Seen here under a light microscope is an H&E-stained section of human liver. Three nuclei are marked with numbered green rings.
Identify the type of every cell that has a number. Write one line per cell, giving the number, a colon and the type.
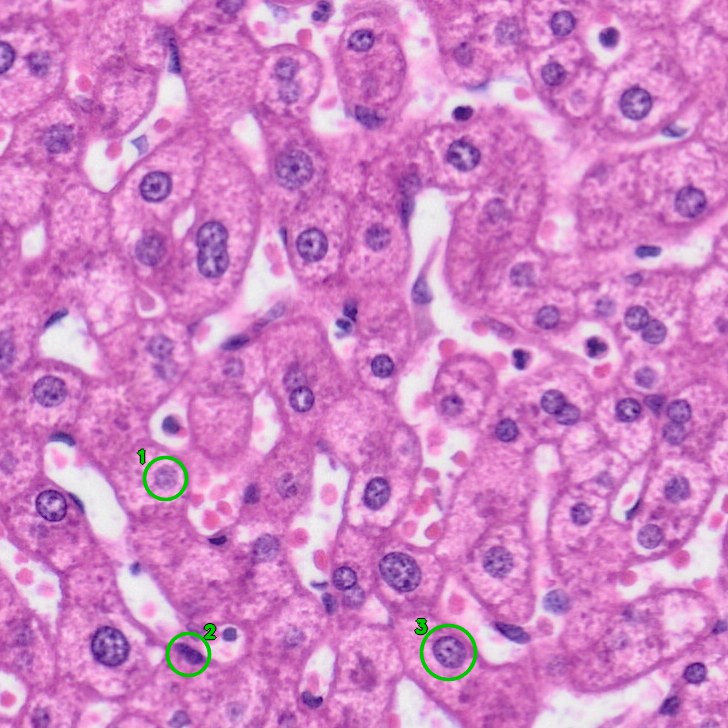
1: hepatocyte
2: fibroblast or stellate cell
3: hepatocyte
